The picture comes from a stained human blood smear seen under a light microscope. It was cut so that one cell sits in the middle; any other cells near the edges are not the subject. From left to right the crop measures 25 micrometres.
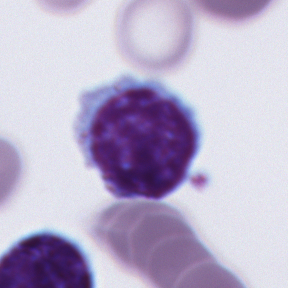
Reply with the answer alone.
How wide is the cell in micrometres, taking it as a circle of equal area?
11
